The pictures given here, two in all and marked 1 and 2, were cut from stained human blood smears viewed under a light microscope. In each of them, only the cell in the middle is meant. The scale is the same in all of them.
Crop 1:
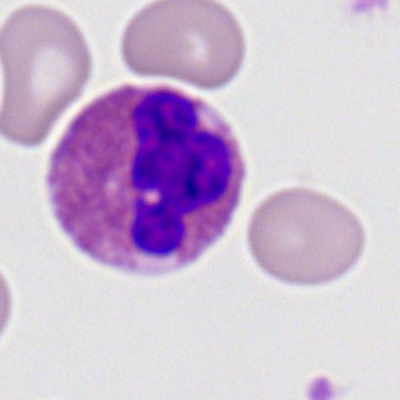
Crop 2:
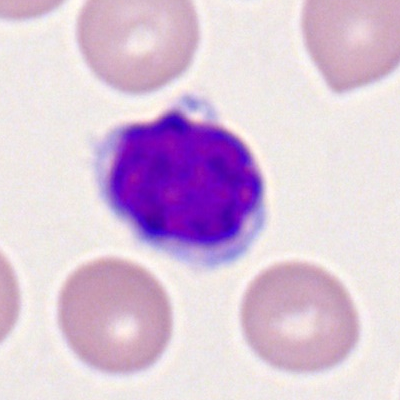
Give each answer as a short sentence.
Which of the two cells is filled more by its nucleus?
Of the two, the nucleus in crop 2 makes up the greater part of its cell.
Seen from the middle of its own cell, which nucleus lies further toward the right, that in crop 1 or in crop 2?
Seen within its cell, the nucleus in crop 1 lies further toward the right.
